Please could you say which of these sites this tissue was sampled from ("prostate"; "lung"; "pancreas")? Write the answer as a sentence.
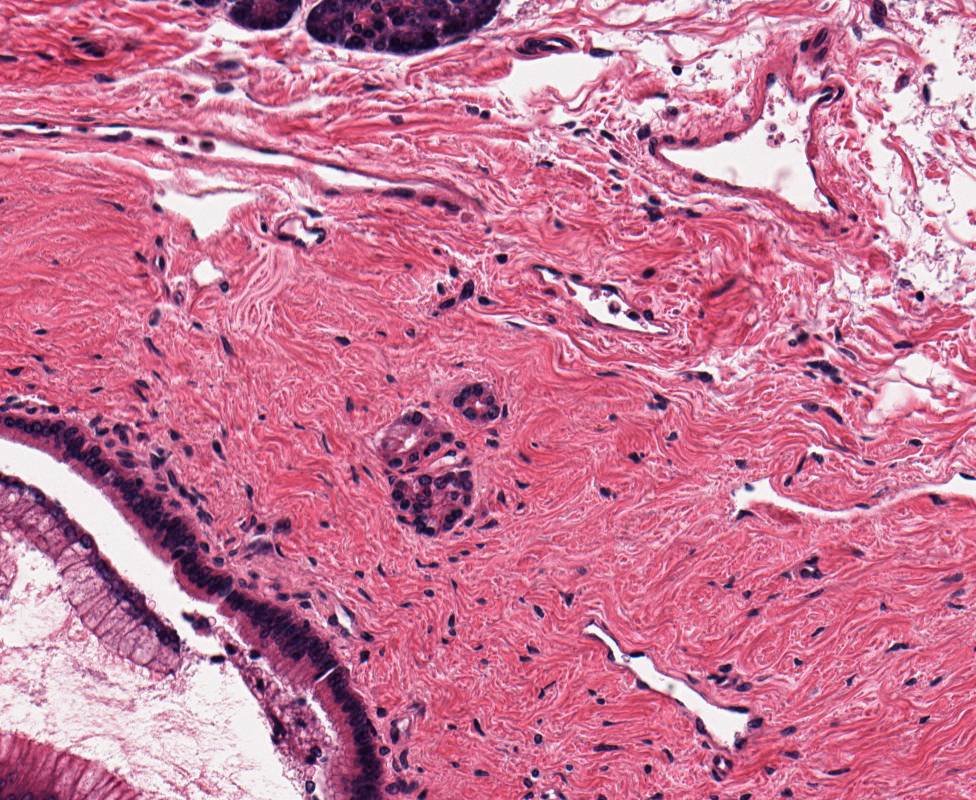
The site this tissue was sampled from is the pancreas.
